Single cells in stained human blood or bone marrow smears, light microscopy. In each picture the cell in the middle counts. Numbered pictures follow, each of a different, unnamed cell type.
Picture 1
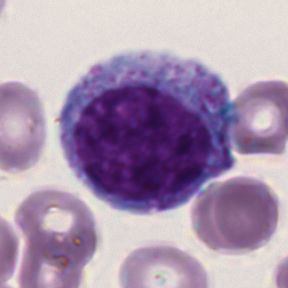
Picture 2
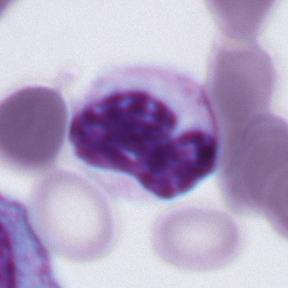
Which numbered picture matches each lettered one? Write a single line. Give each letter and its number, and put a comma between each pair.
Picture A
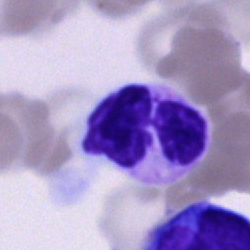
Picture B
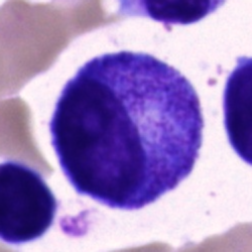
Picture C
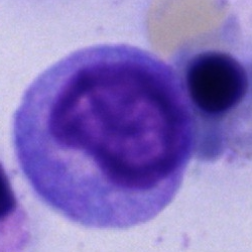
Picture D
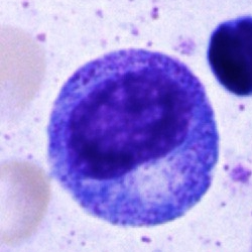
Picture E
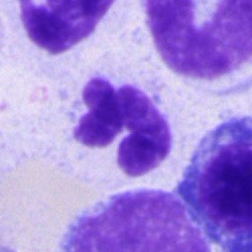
A 2, B 1, C 1, D 1, E 2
